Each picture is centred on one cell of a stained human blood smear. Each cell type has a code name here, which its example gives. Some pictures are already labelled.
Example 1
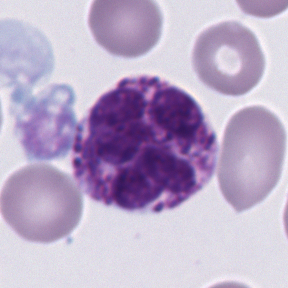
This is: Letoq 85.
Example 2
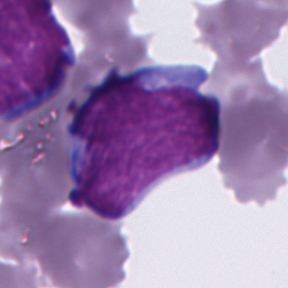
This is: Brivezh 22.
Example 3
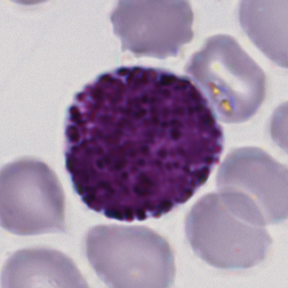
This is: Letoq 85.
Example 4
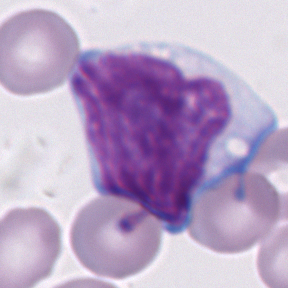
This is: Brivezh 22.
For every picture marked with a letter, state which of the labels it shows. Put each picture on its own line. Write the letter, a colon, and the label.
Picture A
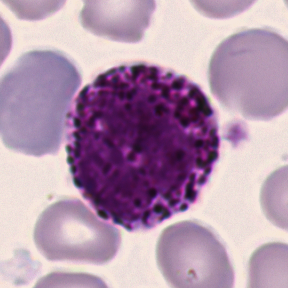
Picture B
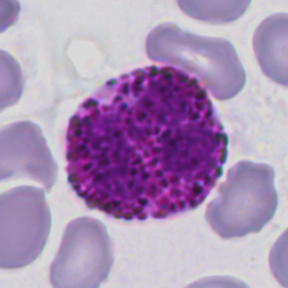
A: Letoq 85.
B: Letoq 85.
